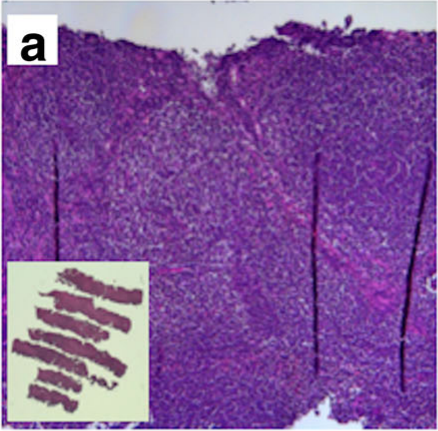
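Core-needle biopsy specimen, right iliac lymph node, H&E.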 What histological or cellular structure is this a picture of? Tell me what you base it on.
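Large follicular nodules. The core is filled by large rounded nodules of densely packed cells. The nodules lie directly against one another with little tissue between them.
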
